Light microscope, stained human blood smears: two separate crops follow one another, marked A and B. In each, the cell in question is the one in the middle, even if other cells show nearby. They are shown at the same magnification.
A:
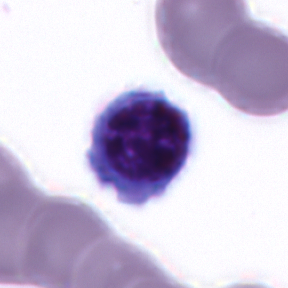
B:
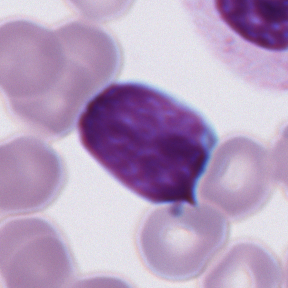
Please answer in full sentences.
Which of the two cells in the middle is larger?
It is the cell in picture B, about 1.5 times as large in area as the cell in picture A.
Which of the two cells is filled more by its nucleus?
The nucleus fills more of the cell in picture B than in picture A.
